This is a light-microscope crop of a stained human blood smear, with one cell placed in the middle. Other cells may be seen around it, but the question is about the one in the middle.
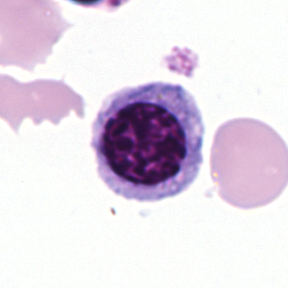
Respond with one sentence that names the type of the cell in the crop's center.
In the central position of this crop, the cell is a normoblast.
